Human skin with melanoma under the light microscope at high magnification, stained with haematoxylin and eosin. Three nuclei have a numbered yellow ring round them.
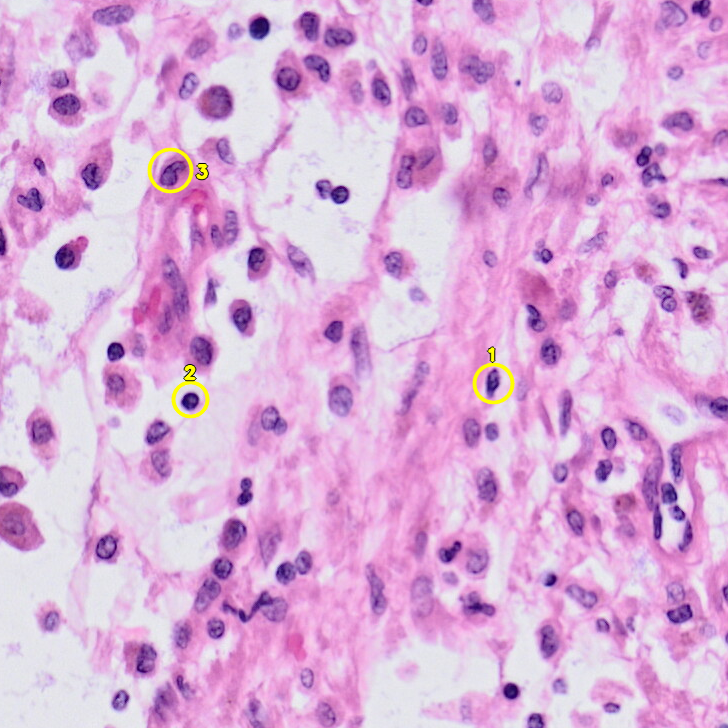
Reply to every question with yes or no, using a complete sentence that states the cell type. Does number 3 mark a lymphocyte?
No, cell 3 is not a lymphocyte: it is a macrophage or monocyte.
